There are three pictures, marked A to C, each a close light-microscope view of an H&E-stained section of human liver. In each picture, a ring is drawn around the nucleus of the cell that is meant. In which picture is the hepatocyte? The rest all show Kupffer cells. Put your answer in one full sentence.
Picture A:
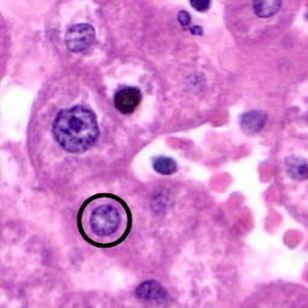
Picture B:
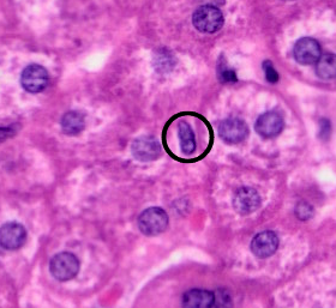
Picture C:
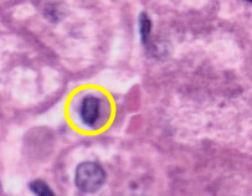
The picture with the hepatocyte is A.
